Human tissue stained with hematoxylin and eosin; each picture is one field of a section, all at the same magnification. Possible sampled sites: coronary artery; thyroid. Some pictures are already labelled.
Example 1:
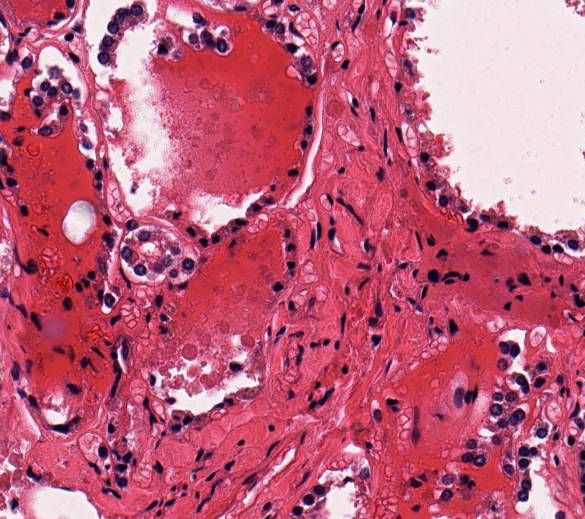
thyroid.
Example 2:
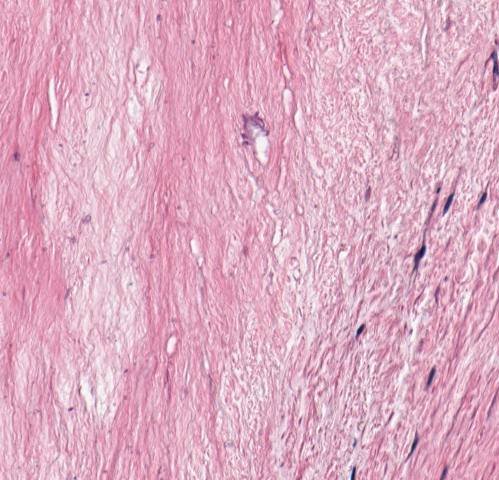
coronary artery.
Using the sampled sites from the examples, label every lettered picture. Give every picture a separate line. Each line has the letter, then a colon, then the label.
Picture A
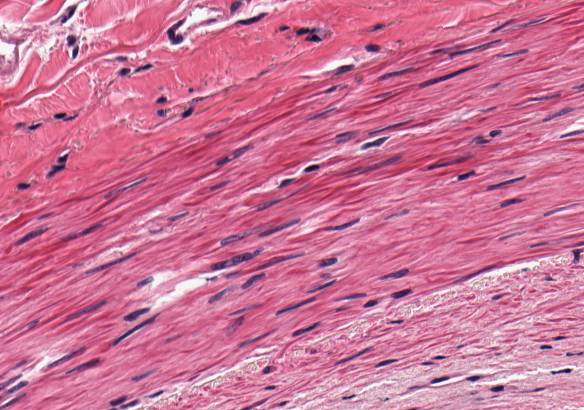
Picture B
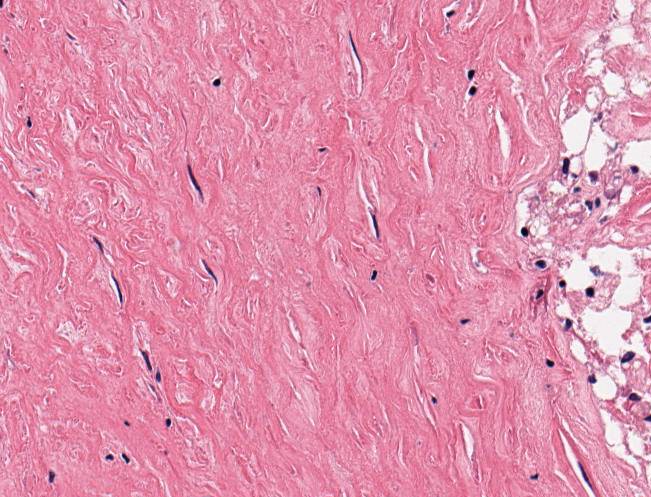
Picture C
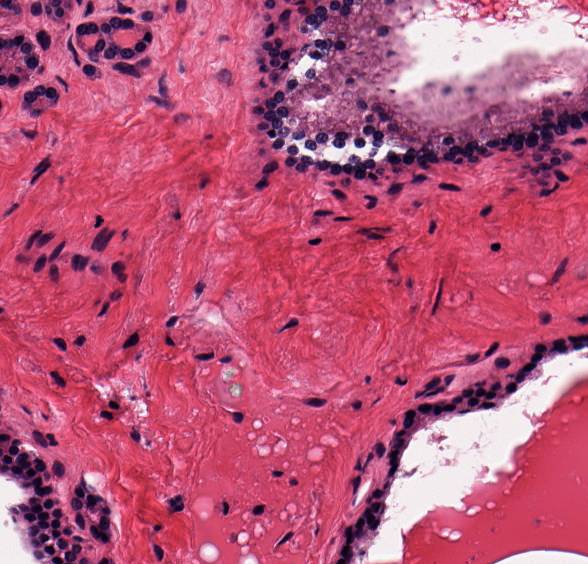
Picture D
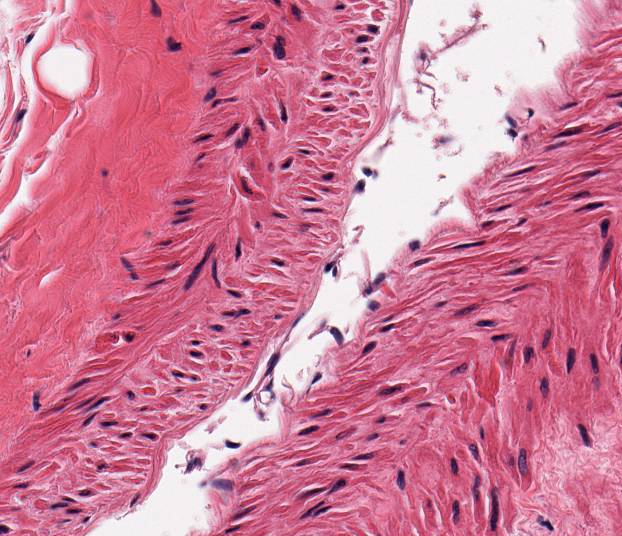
A: coronary artery.
B: coronary artery.
C: thyroid.
D: coronary artery.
